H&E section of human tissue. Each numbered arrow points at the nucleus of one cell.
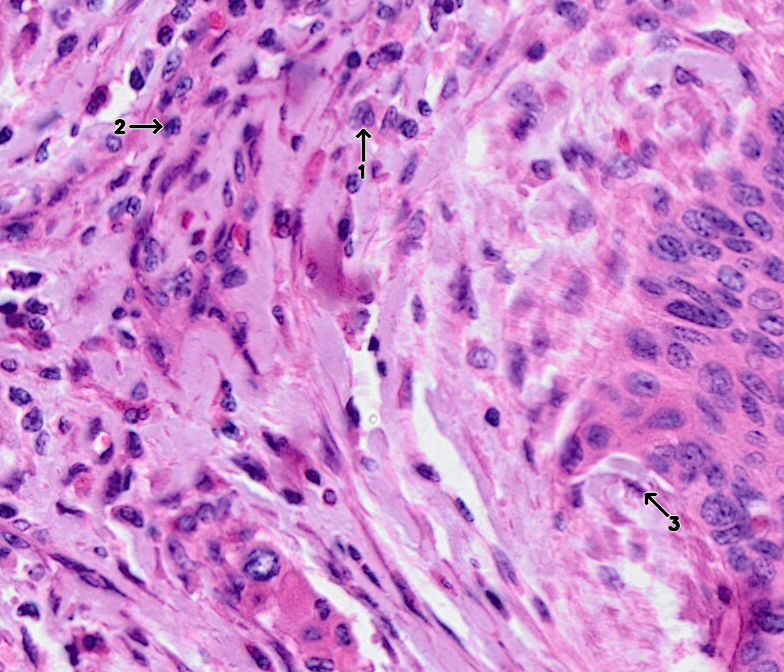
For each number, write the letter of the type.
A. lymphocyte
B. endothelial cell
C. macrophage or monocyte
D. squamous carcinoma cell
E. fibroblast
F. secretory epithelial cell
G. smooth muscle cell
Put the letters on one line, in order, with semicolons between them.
C; A; E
